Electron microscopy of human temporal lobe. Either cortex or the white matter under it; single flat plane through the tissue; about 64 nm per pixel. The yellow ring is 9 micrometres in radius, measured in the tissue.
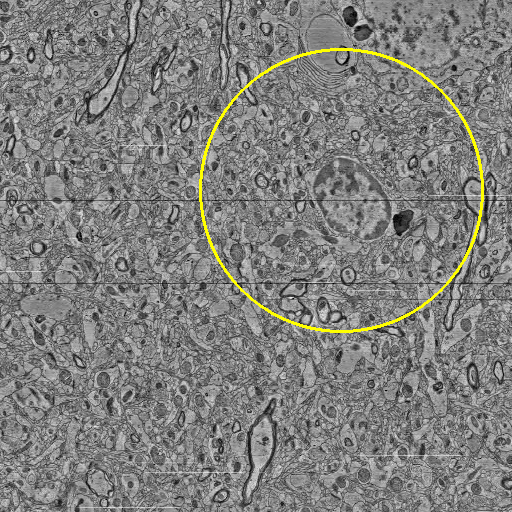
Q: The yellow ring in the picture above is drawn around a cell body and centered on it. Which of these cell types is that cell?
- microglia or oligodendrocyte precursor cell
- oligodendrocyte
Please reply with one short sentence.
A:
The cell body at the ring's center belongs to a microglial cell or oligodendrocyte precursor cell.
